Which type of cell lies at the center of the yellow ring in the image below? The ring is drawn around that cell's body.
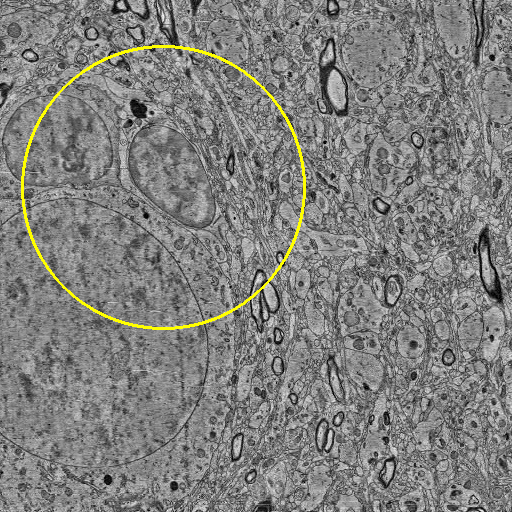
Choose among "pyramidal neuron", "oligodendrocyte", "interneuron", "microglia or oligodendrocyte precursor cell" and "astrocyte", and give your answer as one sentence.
The cell body at the center belongs to a microglial cell or oligodendrocyte precursor cell.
